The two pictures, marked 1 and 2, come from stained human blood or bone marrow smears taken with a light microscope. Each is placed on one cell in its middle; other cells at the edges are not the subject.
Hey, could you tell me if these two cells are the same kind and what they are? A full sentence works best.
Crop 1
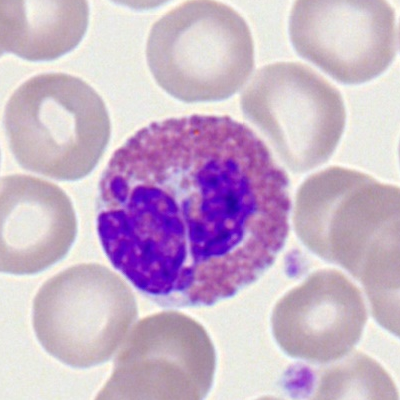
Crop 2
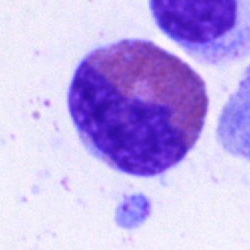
Yes, in the case of both crops, the central cells are eosinophils.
